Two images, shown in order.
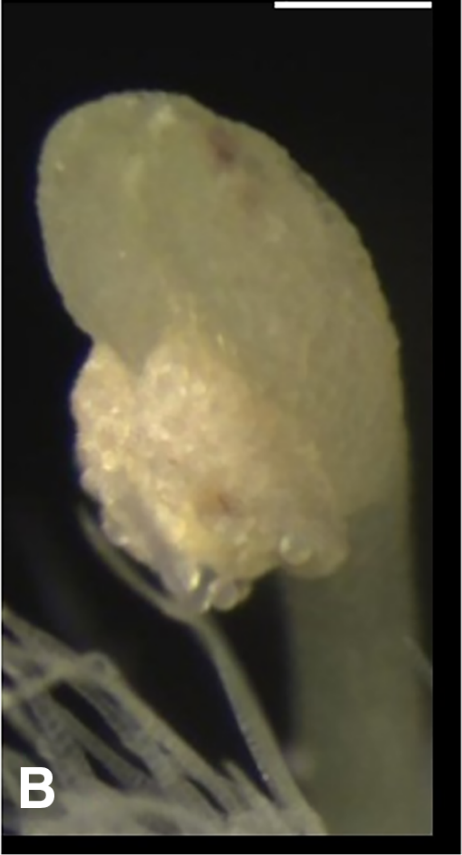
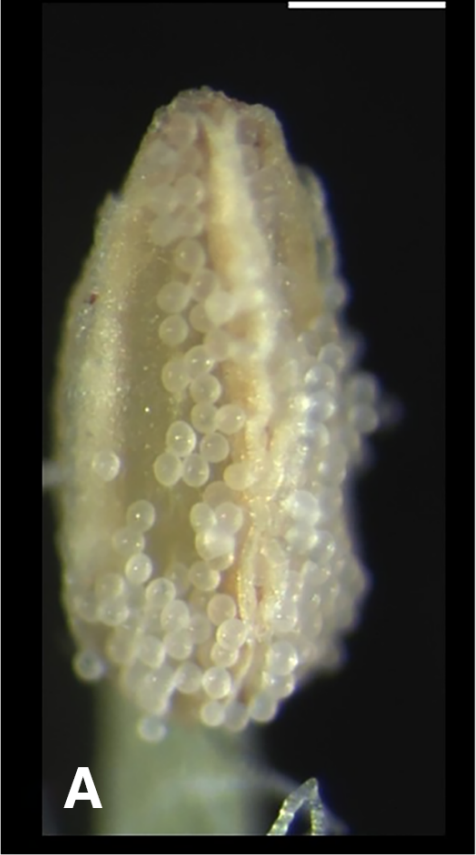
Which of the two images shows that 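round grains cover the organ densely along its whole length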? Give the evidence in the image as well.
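First image: round grains are confined to a smaller lower part, while the upper part is smooth and bare. Second image: round grains crowd densely over most of the organ's surface. On this evidence: the second image.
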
